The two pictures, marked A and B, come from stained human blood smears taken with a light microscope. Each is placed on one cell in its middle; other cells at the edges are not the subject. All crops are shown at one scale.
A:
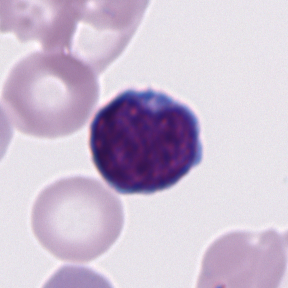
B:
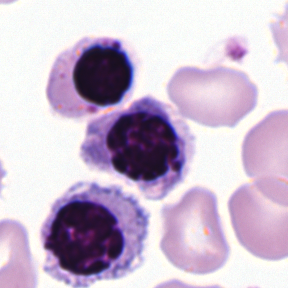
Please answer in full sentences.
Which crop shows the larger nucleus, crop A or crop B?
Crop A shows the larger nucleus; it covers about 2 times the area of the nucleus in crop B.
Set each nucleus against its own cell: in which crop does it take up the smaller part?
In crop B the nucleus takes up the smaller part of its cell.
